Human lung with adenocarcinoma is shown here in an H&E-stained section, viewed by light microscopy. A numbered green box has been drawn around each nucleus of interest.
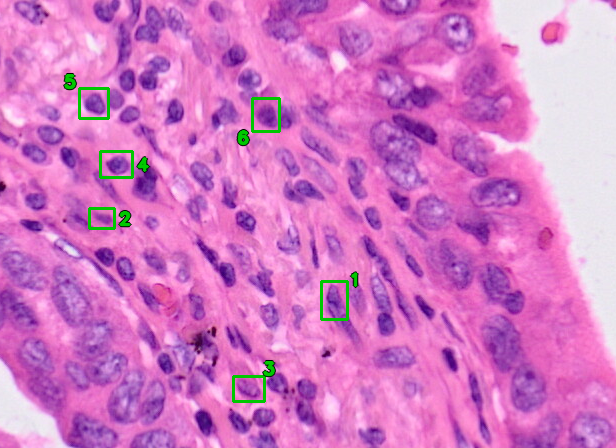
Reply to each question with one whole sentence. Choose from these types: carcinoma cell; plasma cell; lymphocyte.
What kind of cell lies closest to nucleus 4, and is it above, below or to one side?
Just below and to the left of nucleus 4 lies the nearest nucleus, which belongs to a plasma cell.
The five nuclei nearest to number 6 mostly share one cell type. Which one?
Most of the five nuclei nearest to number 6 are those of lymphocytes.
